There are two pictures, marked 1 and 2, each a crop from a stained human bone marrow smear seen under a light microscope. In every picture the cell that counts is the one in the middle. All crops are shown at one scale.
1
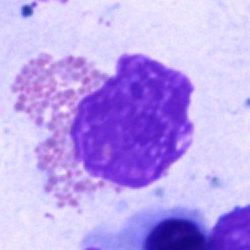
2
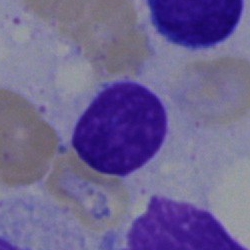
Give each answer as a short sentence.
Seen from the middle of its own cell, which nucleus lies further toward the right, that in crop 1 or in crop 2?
It is the nucleus in crop 1 that lies further toward the right of its cell.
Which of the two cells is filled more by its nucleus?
Of the two, the nucleus in crop 2 makes up the greater part of its cell.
